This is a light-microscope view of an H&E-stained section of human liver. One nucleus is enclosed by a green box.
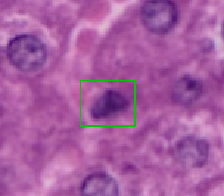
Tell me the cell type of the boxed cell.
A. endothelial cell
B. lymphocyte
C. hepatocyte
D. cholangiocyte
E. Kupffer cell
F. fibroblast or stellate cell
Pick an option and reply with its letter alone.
A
